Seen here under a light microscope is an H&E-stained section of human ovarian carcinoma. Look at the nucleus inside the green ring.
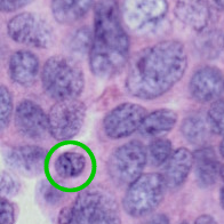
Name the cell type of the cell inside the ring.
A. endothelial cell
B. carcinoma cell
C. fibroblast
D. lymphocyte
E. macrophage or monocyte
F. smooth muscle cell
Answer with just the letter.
E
